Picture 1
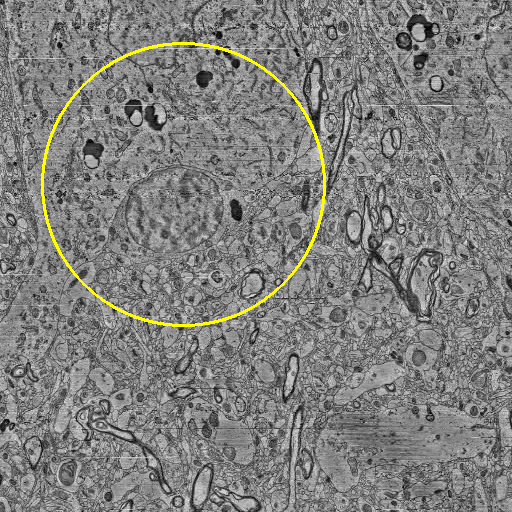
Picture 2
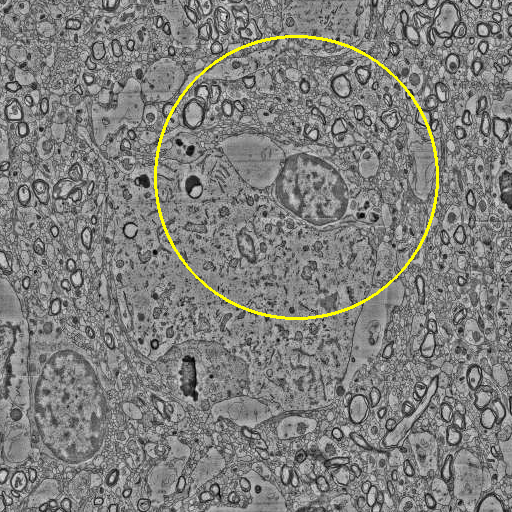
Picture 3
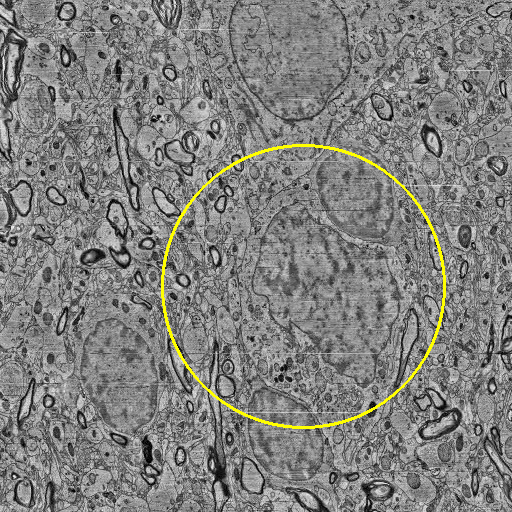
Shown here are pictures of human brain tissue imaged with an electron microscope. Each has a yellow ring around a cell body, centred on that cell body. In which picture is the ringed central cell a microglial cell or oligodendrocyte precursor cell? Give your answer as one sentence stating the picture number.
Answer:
My answer is picture 2, where the ringed cell at the centre is the one sought.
